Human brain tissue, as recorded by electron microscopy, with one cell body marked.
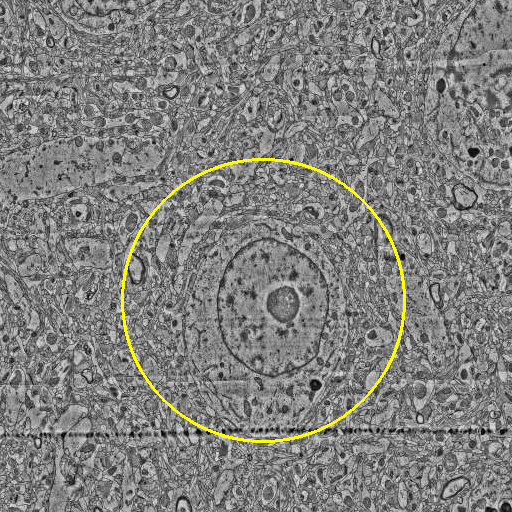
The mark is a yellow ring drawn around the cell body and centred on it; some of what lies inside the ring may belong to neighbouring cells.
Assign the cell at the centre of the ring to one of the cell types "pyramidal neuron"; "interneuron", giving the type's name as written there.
pyramidal neuron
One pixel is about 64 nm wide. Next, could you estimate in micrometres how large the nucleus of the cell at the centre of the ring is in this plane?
About 9 by 7 micrometres in this plane.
